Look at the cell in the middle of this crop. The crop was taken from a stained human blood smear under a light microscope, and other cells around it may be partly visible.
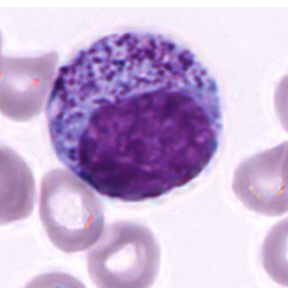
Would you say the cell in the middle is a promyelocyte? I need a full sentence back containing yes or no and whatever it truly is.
Yes, the cell in the middle is rightly called a promyelocyte.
